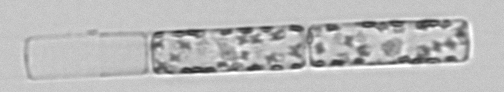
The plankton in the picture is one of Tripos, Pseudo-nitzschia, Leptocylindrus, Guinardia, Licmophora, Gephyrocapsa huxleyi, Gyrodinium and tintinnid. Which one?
Leptocylindrus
